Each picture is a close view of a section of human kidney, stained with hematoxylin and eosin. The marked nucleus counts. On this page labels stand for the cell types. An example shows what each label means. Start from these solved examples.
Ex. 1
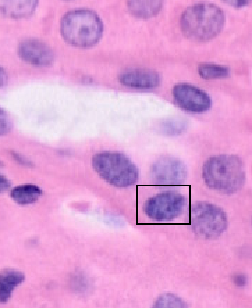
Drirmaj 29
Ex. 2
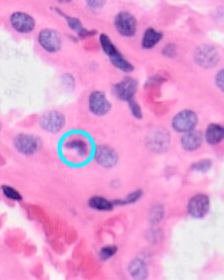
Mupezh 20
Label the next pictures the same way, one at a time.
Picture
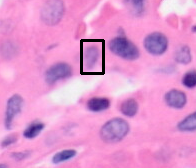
Drirmaj 29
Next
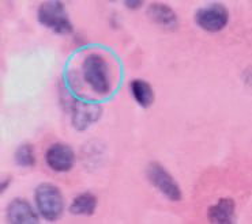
Drirmaj 29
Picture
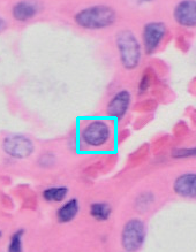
Drirmaj 29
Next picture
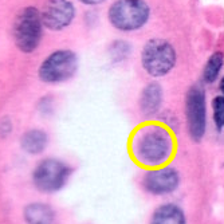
Drirmaj 29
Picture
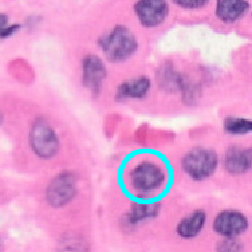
Drirmaj 29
